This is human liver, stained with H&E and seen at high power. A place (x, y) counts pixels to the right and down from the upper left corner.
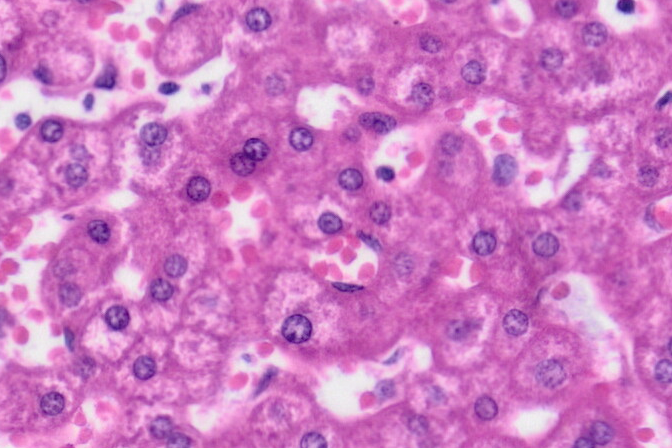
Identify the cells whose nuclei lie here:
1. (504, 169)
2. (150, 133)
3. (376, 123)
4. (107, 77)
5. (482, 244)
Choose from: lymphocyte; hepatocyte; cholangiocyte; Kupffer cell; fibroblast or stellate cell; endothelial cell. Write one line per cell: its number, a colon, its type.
1: endothelial cell
2: hepatocyte
3: Kupffer cell
4: Kupffer cell
5: hepatocyte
